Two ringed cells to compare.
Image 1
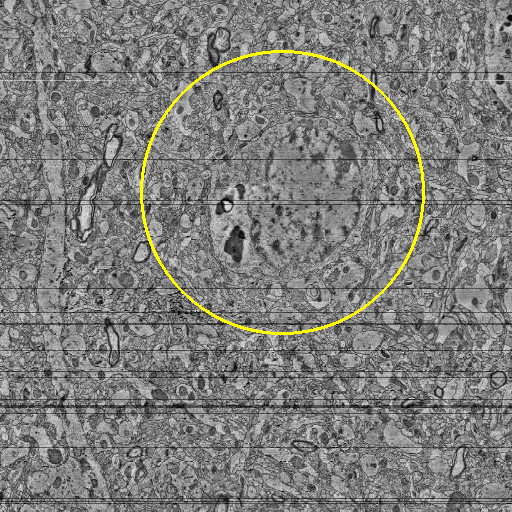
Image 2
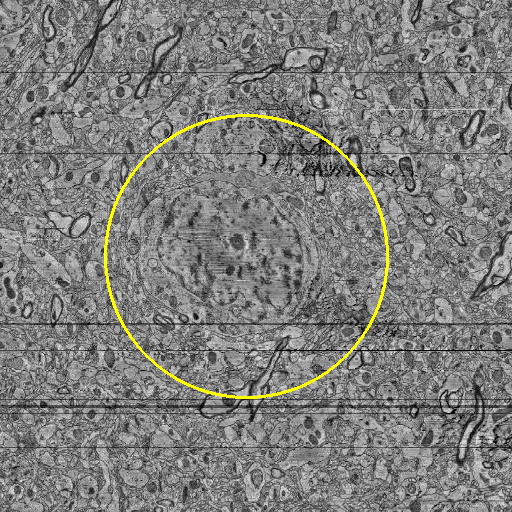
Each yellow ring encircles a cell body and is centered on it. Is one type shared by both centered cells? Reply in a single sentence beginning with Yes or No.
Yes, a single type is shared by the two cells at the centers of the rings.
